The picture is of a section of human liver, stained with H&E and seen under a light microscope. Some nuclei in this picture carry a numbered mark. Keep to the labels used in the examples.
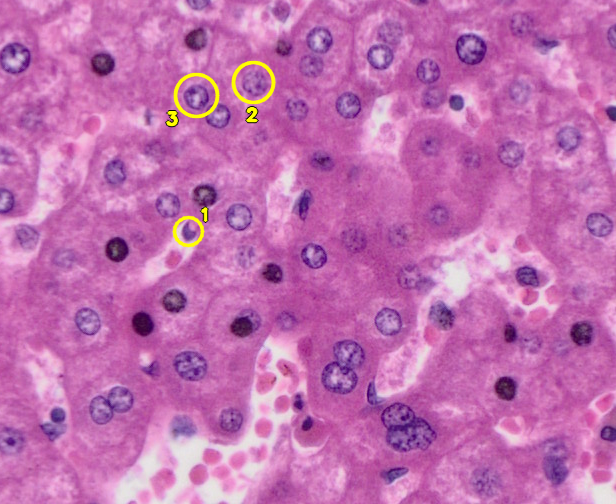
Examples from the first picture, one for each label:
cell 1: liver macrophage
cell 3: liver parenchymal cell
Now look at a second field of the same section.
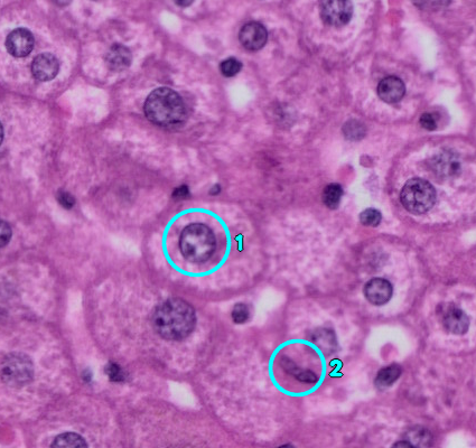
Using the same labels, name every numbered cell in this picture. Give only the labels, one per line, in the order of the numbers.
liver parenchymal cell
liver macrophage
